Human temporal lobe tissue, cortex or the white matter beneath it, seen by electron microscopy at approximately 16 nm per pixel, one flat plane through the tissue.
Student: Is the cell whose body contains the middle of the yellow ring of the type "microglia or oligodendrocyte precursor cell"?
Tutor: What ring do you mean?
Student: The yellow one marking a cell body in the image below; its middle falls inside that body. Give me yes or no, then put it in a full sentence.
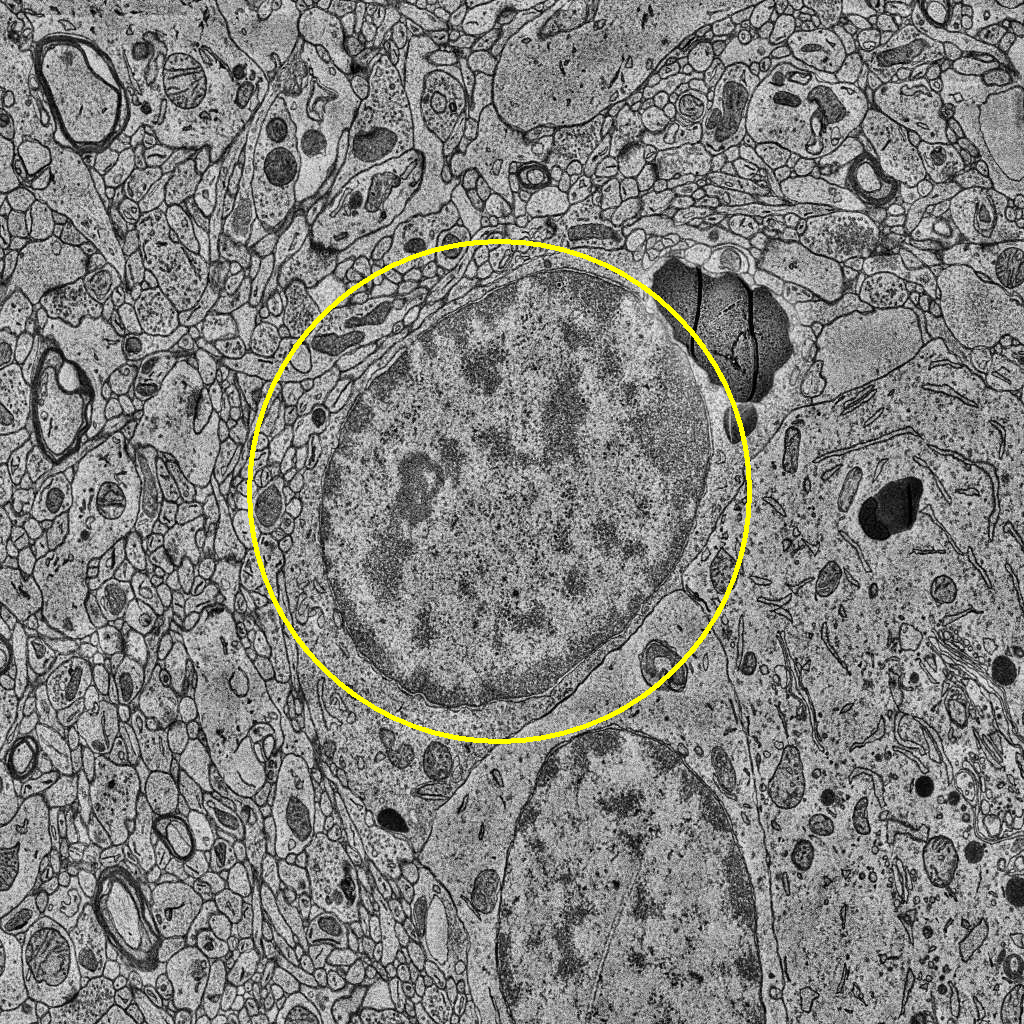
No, the cell whose body holds the middle of the yellow ring in the image has a different type.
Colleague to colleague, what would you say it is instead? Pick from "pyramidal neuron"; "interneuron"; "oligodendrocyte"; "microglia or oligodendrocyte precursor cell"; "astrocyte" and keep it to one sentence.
The ring's central cell is an oligodendrocyte instead.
